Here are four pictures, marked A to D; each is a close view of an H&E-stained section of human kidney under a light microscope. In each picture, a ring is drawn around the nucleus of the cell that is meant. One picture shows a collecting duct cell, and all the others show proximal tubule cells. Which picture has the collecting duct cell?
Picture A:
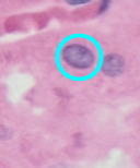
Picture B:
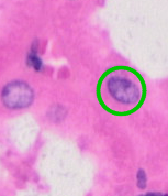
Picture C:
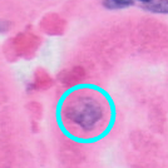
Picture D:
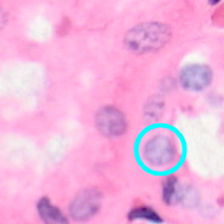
D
